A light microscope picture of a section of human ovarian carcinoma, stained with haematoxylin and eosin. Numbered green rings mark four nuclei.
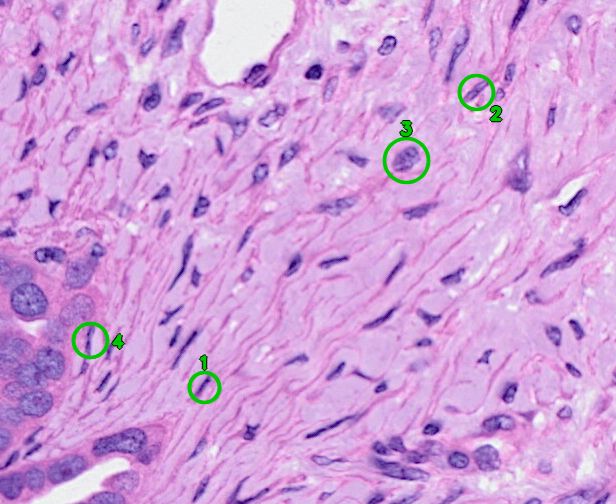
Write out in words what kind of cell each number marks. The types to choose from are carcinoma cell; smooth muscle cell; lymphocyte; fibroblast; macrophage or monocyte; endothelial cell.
Cell 1 is a fibroblast, cell 2 is a fibroblast, cell 3 is a macrophage or monocyte and cell 4 is a fibroblast.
